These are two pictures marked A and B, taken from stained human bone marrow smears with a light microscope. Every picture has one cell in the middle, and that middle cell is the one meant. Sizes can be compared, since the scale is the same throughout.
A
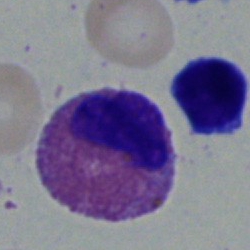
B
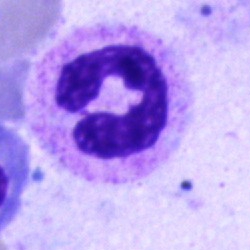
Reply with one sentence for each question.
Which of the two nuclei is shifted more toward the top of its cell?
It is the nucleus in crop A that lies further toward the top of its cell.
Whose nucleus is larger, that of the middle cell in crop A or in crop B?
Larger is the nucleus in crop B, at roughly 1.5 times the area of the other.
